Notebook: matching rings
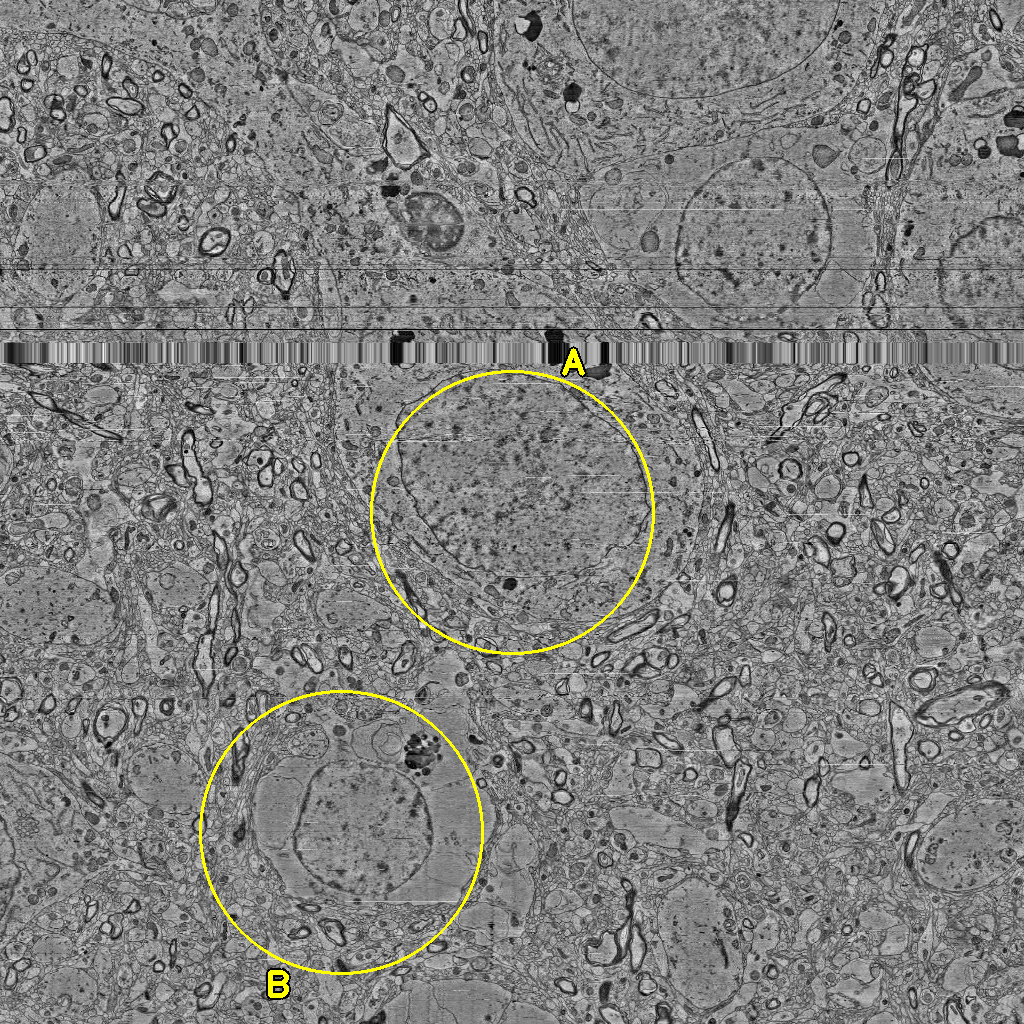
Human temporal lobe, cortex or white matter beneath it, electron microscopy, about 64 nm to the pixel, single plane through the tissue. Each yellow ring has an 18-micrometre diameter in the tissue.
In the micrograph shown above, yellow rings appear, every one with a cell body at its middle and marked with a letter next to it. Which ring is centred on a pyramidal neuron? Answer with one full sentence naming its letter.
A cell of that kind lies at the centre of the ring lettered A.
